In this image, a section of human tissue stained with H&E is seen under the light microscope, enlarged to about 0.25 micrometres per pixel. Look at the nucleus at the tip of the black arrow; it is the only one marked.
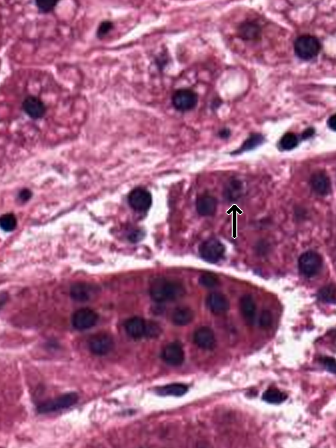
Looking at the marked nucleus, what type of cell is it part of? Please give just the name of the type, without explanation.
adrenal cortical cell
